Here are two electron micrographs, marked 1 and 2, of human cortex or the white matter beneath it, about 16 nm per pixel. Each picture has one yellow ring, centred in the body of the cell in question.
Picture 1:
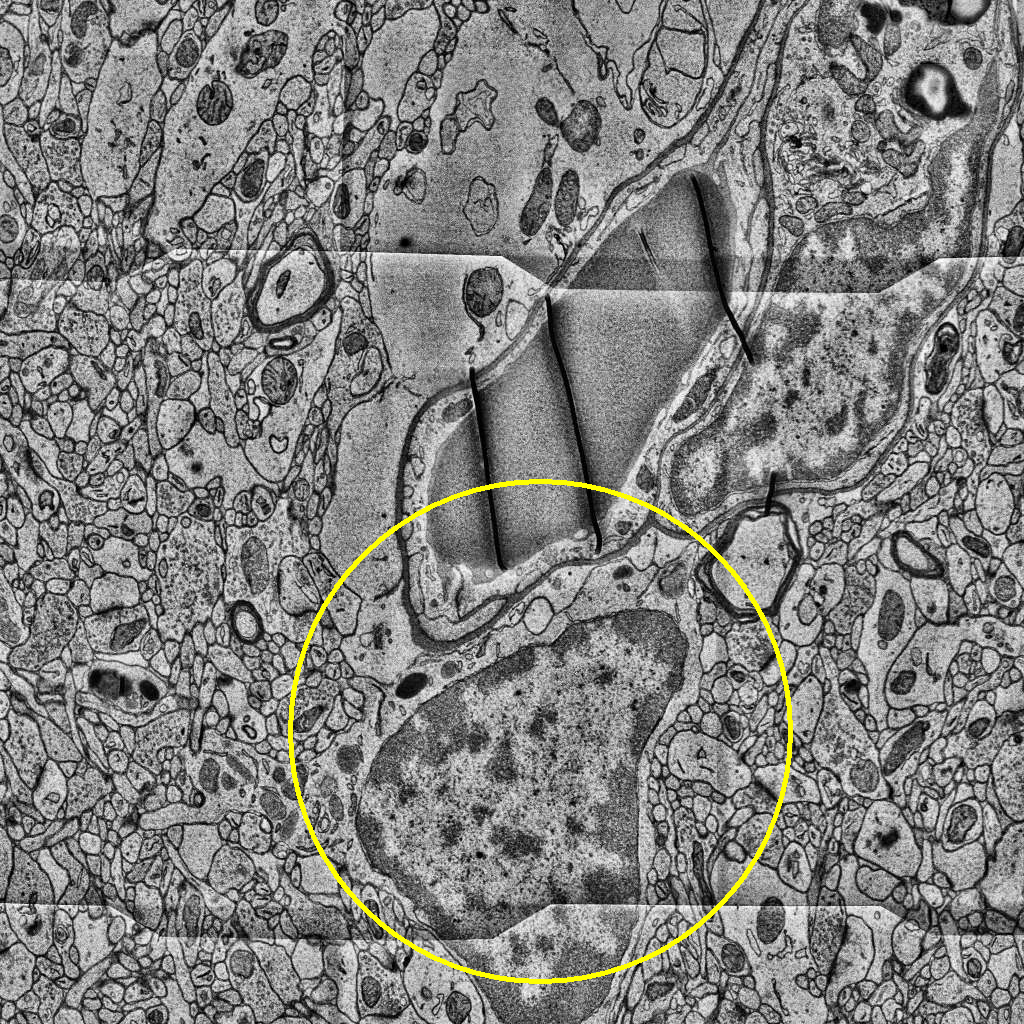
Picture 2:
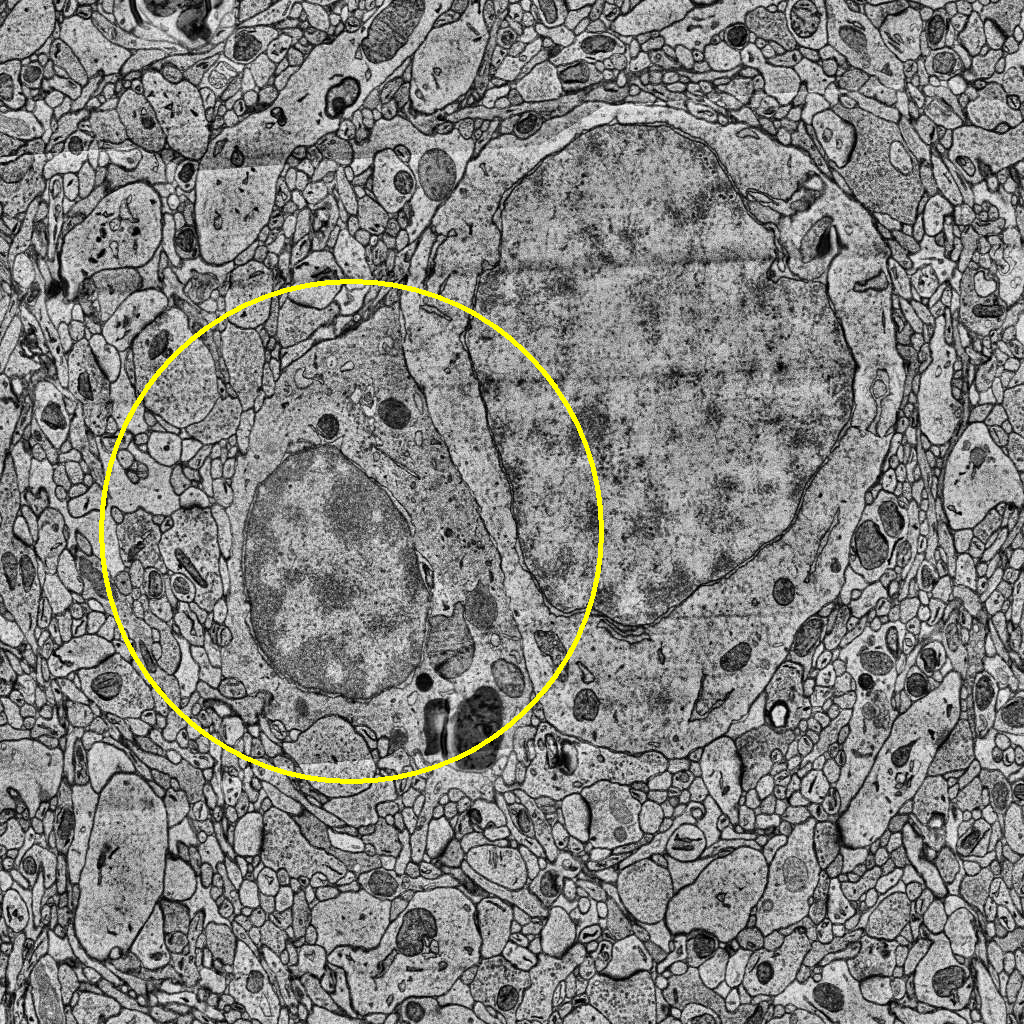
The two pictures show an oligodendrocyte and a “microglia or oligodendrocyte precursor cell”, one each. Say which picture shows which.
Picture 1 shows a “microglia or oligodendrocyte precursor cell” and picture 2 shows an oligodendrocyte.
